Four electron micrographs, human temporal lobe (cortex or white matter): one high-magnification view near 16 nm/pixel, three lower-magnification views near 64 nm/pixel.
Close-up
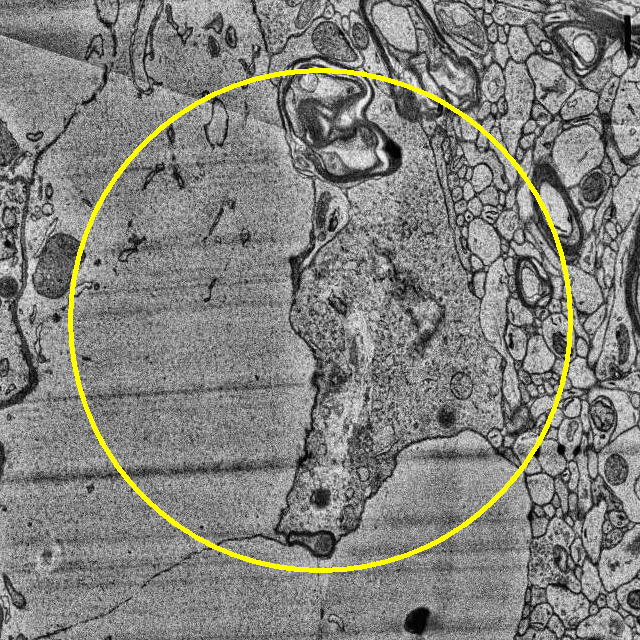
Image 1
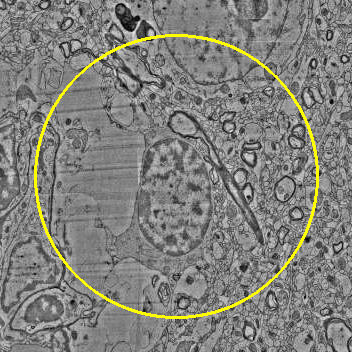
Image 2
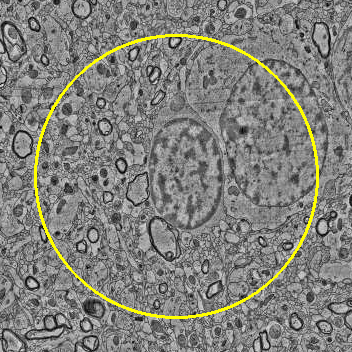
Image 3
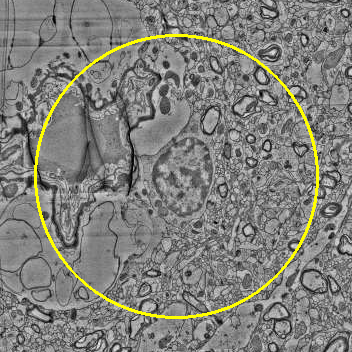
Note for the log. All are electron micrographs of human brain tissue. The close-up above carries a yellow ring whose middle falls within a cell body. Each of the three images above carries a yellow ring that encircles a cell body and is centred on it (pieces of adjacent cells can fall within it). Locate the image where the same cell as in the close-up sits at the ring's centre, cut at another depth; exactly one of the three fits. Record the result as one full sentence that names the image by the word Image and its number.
The close-up shows a cell, and that cell is ringed in Image 1.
